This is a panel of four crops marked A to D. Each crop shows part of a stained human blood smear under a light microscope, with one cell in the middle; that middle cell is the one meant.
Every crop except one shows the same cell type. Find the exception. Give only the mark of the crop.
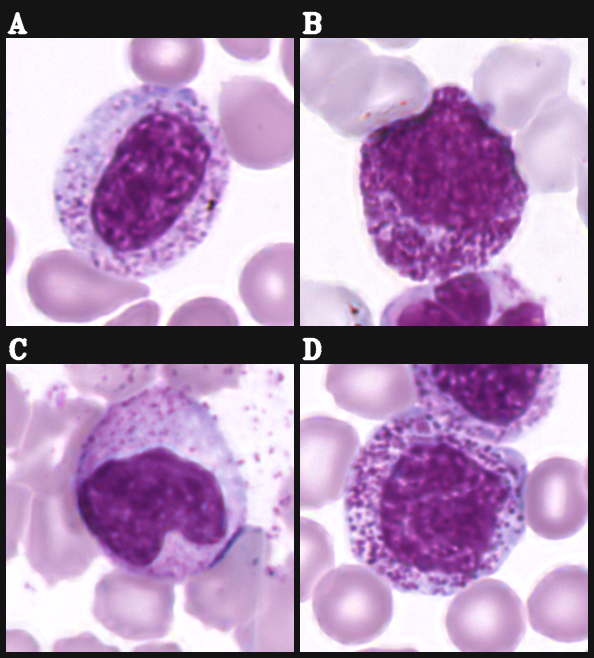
C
